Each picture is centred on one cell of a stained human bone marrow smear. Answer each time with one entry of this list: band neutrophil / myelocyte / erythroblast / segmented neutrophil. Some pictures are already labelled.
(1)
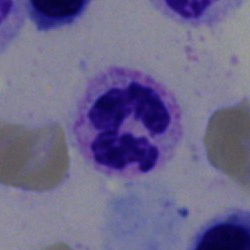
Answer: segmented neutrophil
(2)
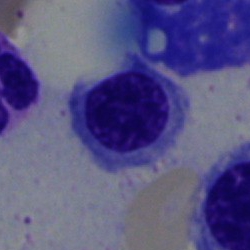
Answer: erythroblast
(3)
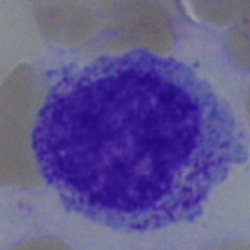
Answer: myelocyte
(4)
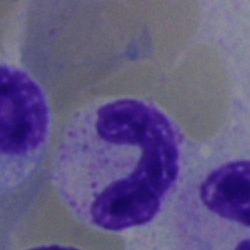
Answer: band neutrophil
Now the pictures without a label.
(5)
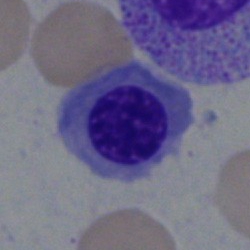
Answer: erythroblast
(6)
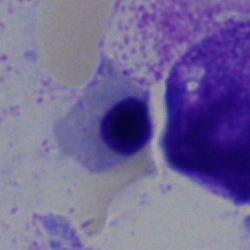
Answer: erythroblast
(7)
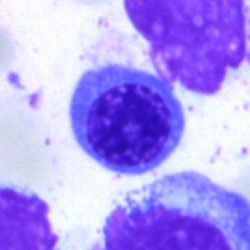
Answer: erythroblast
